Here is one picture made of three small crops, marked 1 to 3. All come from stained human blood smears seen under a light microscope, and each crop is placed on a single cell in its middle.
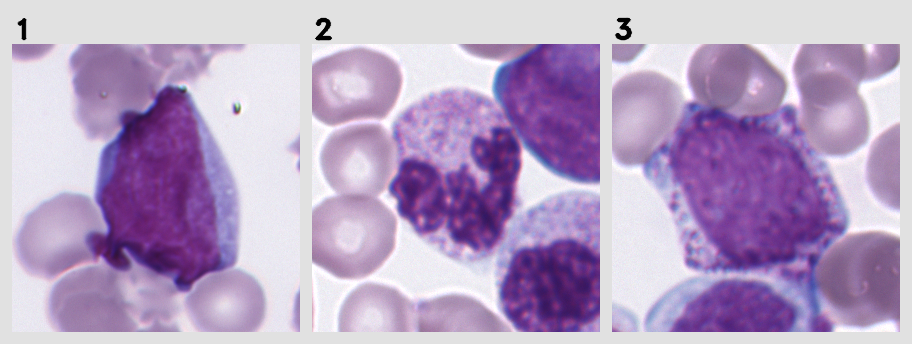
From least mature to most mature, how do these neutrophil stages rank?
1, 3, 2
